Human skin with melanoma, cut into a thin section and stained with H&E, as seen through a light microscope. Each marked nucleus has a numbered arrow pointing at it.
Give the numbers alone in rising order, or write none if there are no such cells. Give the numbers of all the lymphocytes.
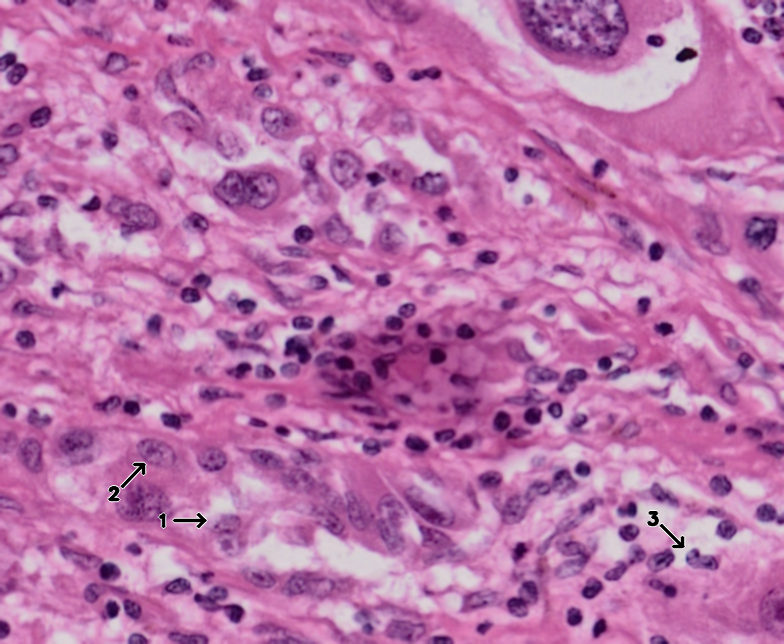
3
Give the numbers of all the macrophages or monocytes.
none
